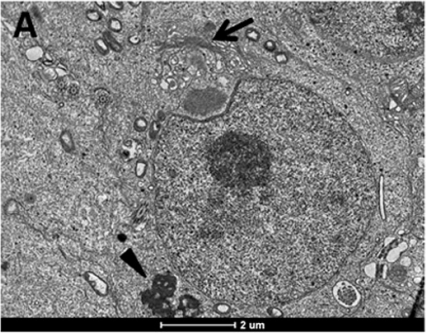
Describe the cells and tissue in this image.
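A round spermatid seen by transmission electron microscopy, surrounded by parts of neighbouring cells. The large round nucleus fills much of the cell, with pale, finely granular chromatin and a darker irregular region near its centre. Above the nucleus, marked by an arrow, lies a stack of flattened membranes, the Golgi apparatus. At the lower left edge of the nucleus an arrowhead marks a dark, lobed, granular body free in the cytoplasm. The cytoplasm around the nucleus holds many small mitochondria with pale interiors and scattered vesicles.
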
